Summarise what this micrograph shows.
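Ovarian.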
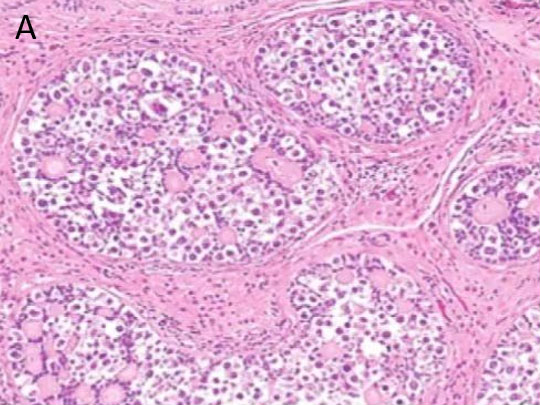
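The germ cells are large, with clear or pale cytoplasm and round central nuclei. Smaller cells with dark, compact nuclei crowd around the edges of the nests and around the round pink bodies inside them. These hyaline bodies are smooth, homogeneous pink globules without any cells in them, scattered through the nests. The stroma between the nests holds spindle-shaped cells with elongated nuclei.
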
